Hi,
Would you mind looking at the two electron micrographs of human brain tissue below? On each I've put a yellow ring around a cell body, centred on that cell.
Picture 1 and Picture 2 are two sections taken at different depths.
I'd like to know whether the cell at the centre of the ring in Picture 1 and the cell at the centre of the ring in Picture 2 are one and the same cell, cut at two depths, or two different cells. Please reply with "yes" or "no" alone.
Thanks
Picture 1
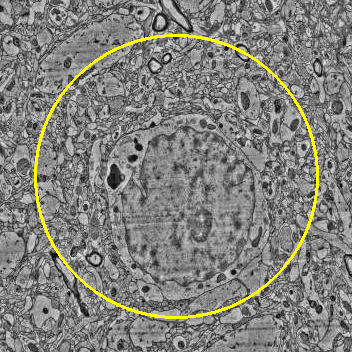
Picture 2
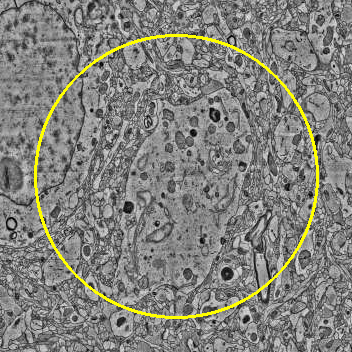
no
